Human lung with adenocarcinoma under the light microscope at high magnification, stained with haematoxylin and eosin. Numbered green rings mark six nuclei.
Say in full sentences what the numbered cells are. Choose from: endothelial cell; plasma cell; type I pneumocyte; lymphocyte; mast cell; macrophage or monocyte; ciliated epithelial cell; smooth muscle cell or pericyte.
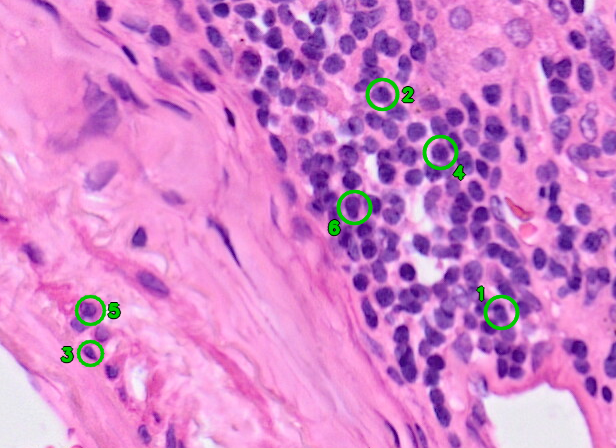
Cell 1 is a lymphocyte, cell 2 is a lymphocyte, cell 3 is a smooth muscle cell or pericyte, cell 4 is a lymphocyte, cell 5 is a smooth muscle cell or pericyte and cell 6 is a lymphocyte.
